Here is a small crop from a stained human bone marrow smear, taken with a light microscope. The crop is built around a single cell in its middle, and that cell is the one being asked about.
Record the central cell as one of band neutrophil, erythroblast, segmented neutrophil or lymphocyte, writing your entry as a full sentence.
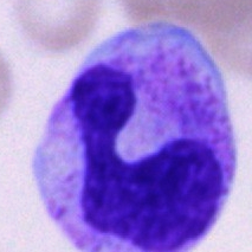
Centrally within this crop lies a segmented neutrophil.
